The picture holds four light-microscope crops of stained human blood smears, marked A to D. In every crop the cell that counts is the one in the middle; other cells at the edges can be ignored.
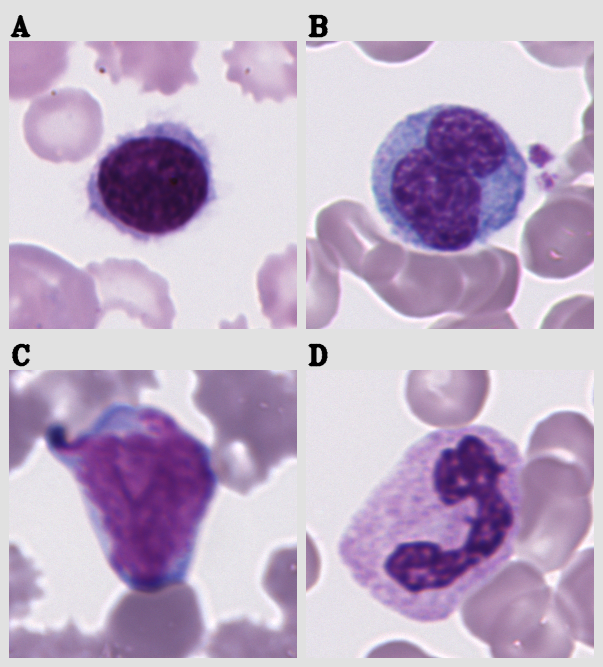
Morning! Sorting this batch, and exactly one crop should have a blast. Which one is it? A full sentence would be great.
Crop C shows a blast, and no other crop does.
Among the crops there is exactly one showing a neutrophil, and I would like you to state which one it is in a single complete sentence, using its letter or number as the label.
Crop D is the crop in which a neutrophil is shown.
